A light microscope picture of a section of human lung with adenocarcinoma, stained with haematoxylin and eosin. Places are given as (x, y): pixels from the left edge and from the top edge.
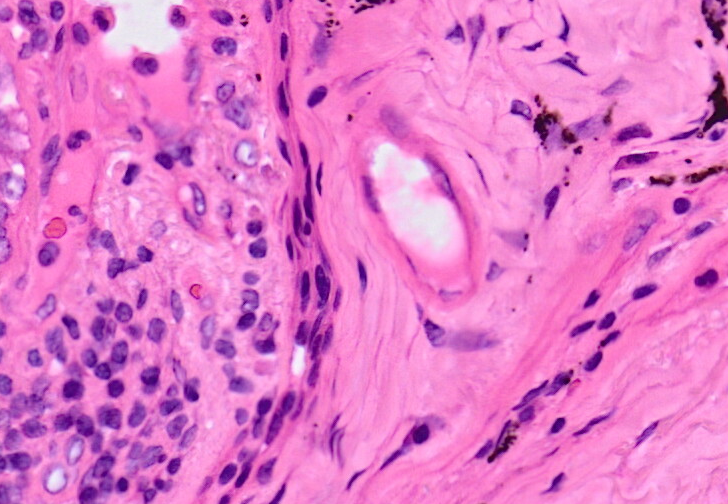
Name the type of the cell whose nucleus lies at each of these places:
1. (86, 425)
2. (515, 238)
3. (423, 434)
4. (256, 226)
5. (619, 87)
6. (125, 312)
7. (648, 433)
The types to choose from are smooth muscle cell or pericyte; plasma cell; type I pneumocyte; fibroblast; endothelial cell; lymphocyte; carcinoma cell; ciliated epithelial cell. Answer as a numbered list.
1. lymphocyte
2. fibroblast
3. plasma cell
4. plasma cell
5. fibroblast
6. lymphocyte
7. fibroblast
